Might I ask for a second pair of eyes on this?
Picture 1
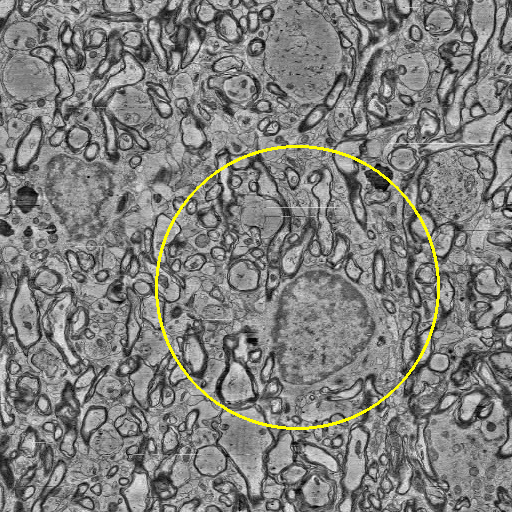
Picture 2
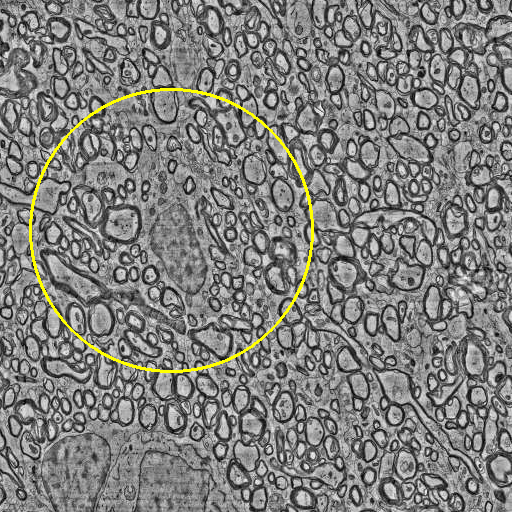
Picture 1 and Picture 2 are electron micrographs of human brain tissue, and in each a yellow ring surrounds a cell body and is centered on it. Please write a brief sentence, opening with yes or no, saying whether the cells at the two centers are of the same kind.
Yes, the cells are of the same kind.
